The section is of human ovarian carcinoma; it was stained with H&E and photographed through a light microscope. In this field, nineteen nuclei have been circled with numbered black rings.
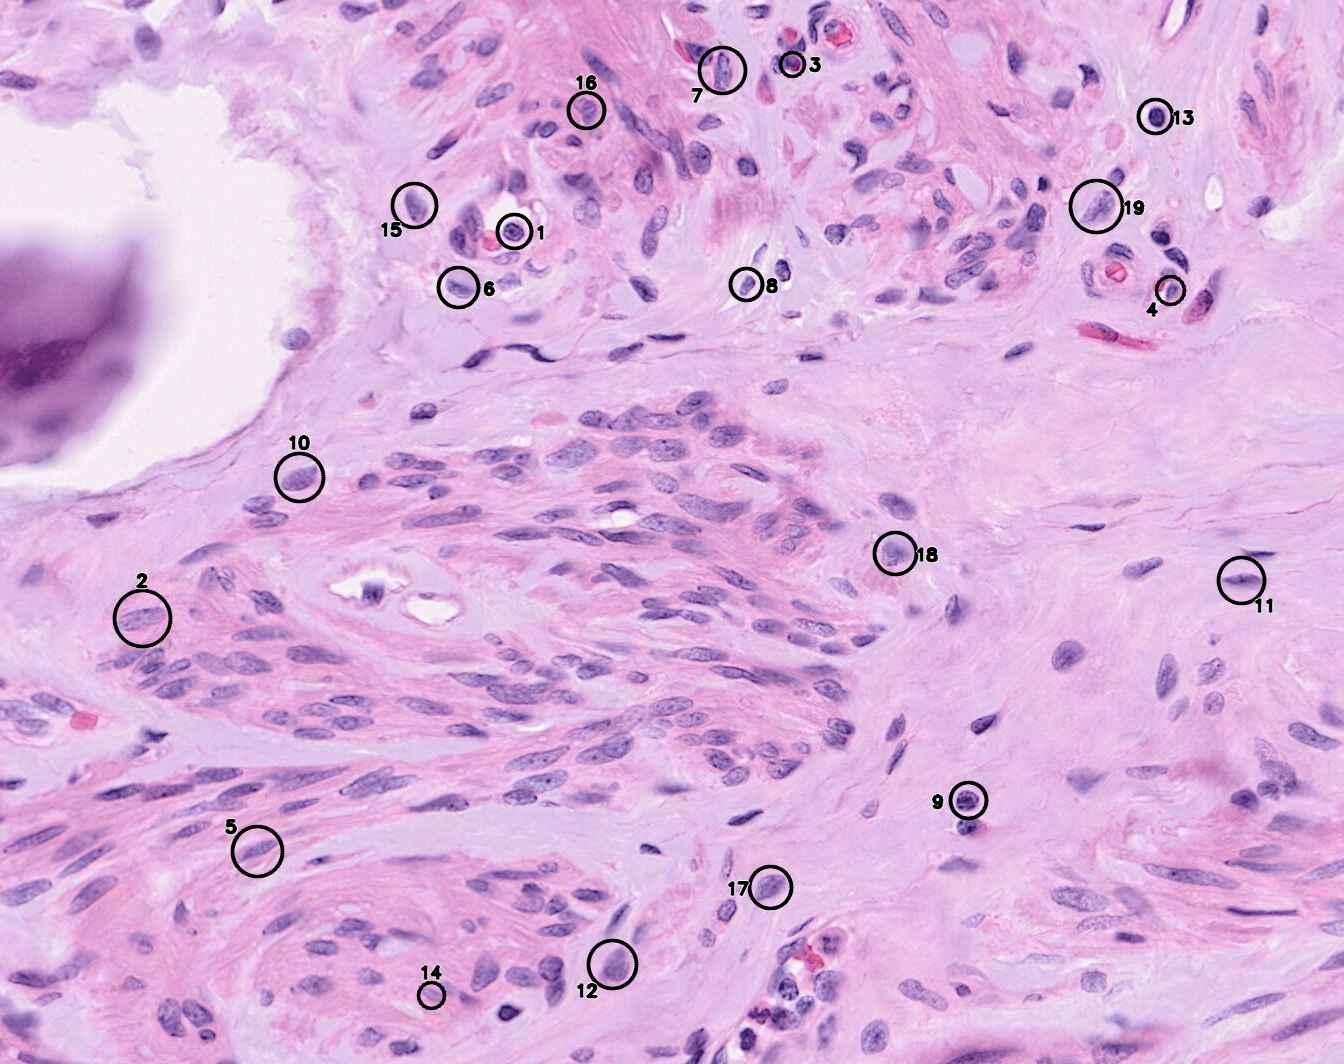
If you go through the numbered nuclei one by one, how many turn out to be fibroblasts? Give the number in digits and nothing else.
8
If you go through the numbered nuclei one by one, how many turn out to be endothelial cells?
3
